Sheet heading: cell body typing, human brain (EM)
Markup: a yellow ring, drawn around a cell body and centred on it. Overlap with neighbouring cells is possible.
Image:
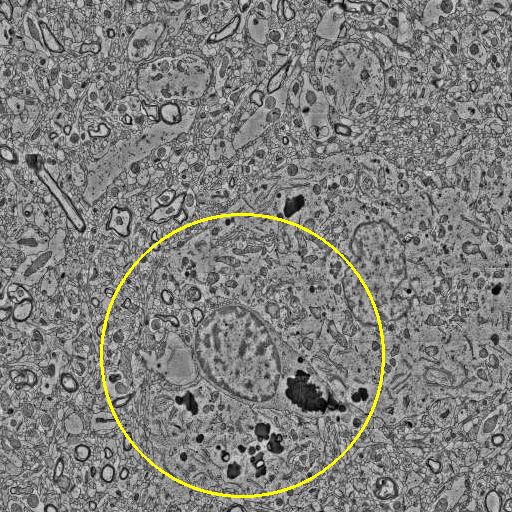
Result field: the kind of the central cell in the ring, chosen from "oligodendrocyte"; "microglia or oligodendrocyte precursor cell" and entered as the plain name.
oligodendrocyte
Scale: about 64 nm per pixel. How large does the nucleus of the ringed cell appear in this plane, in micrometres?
Roughly 7 micrometres by 5 micrometres, in this plane.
